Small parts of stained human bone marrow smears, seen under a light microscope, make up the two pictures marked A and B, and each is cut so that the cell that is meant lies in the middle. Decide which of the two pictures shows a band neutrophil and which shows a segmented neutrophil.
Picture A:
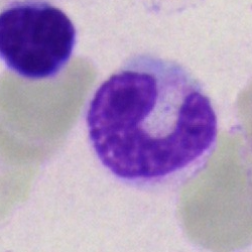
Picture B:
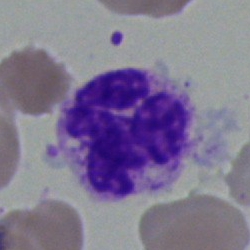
A: band neutrophil
B: segmented neutrophil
